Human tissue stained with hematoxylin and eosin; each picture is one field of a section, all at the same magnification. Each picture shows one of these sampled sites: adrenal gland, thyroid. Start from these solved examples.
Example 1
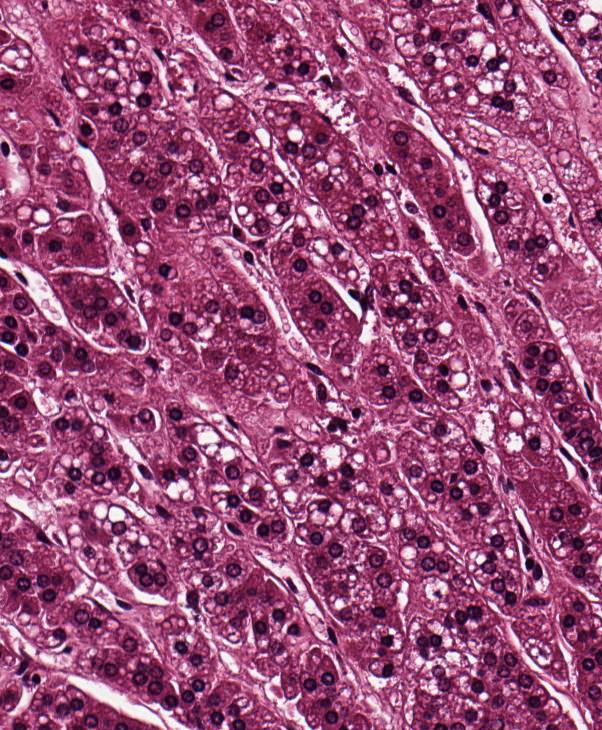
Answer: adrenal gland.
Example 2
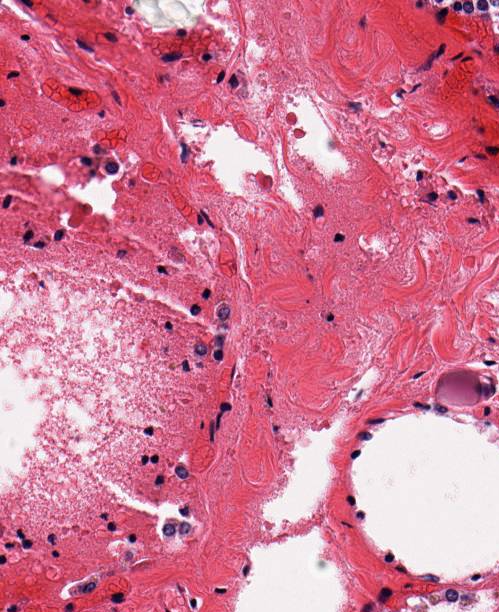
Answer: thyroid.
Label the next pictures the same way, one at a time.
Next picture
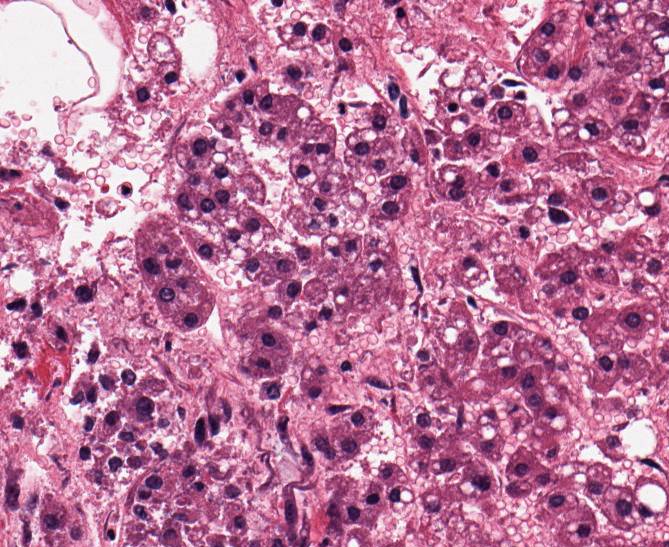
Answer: adrenal gland.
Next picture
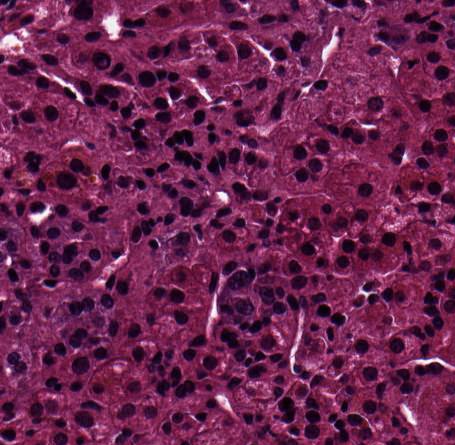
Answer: adrenal gland.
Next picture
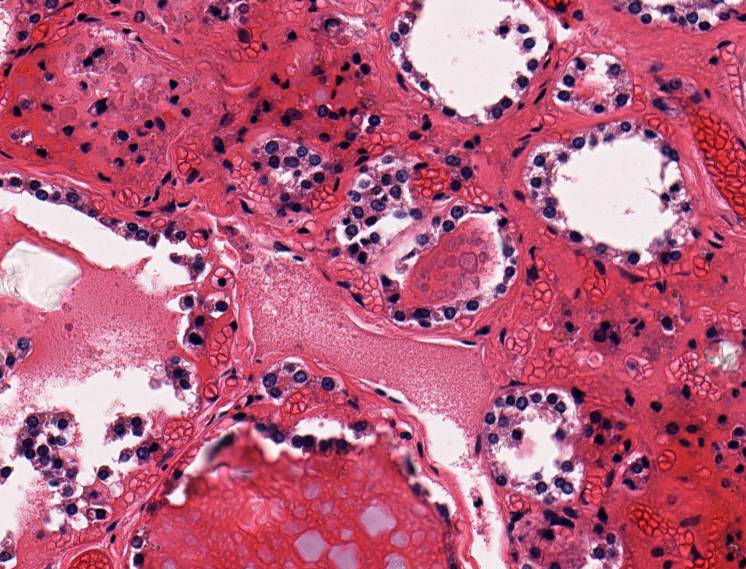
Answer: thyroid.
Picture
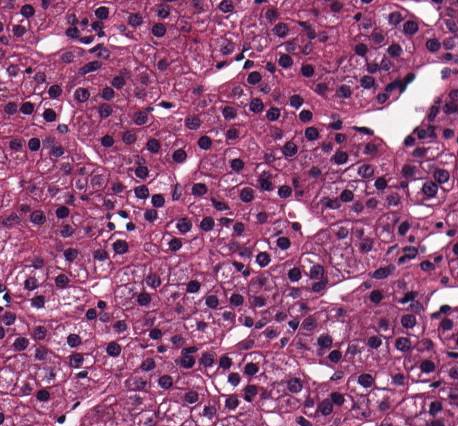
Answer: adrenal gland.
